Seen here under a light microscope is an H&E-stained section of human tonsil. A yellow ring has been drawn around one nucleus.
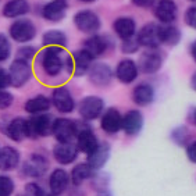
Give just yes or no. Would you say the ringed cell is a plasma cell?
no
